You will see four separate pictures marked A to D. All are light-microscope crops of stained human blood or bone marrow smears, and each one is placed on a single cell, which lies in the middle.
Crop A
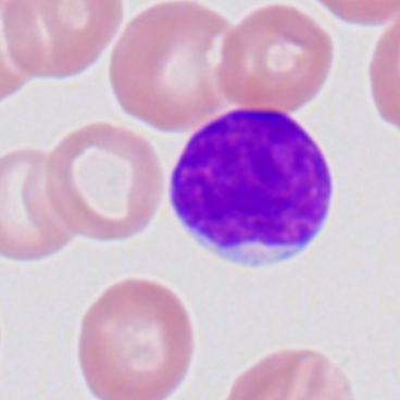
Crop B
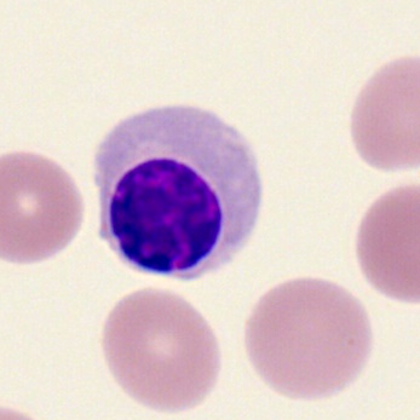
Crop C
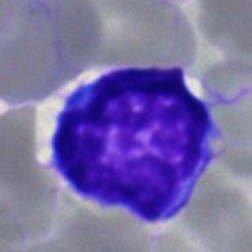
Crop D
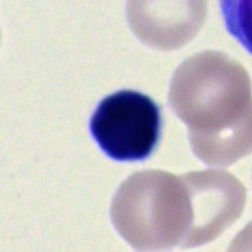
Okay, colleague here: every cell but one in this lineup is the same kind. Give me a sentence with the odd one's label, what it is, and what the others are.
Whereas the other crops all show lymphocytes, crop B shows an erythroblast.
